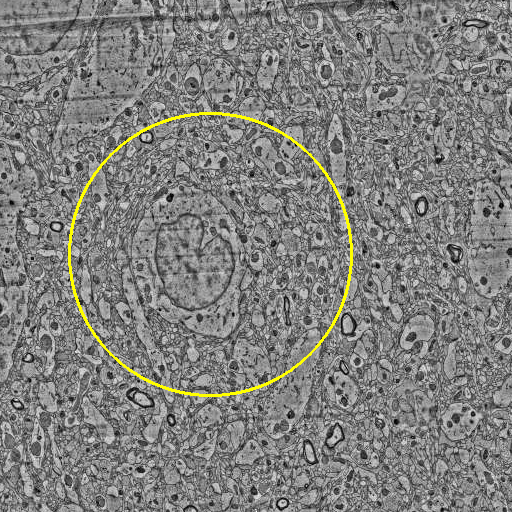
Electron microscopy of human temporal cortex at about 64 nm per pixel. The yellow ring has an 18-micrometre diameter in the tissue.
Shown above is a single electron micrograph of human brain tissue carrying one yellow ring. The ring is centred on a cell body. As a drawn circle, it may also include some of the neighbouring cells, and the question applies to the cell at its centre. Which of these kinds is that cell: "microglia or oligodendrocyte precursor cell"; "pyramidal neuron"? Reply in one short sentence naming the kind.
The cell marked by the ring is a pyramidal neuron.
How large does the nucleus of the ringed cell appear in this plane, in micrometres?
Roughly 6 micrometres by 5 micrometres, in this plane.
